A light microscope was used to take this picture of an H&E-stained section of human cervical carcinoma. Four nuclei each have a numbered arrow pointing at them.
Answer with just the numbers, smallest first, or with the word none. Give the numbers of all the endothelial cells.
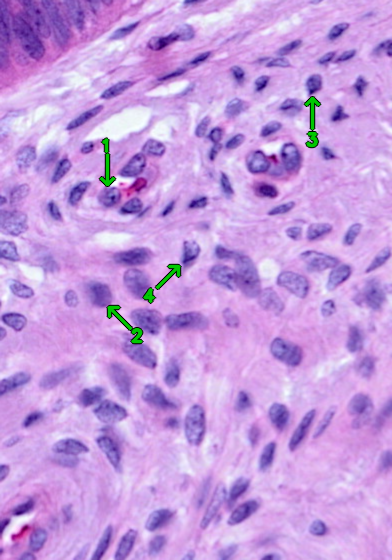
1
